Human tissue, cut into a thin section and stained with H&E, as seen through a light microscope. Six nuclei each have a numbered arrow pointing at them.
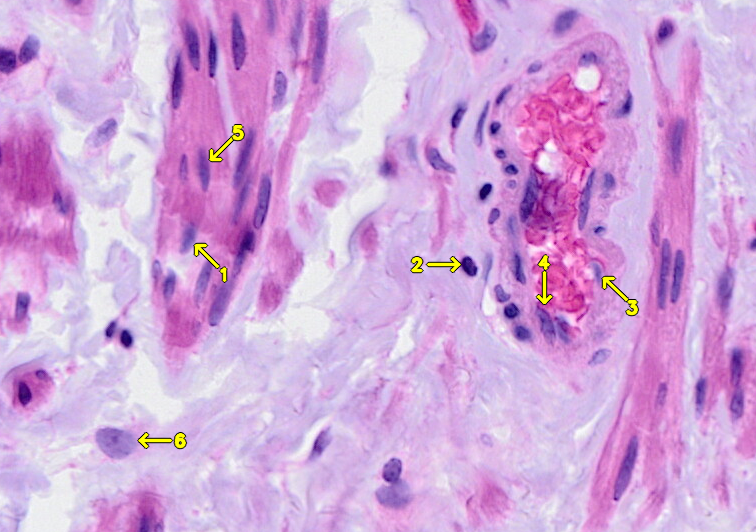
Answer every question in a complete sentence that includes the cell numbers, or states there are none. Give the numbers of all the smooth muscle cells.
Cells that were given the numbers 1 and 5 are smooth muscle cells.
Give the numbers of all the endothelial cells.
The cells tagged with numbers 3 and 4 are endothelial cells.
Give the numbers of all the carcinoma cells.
None of the cells labelled with numbers belong to the carcinoma cells.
